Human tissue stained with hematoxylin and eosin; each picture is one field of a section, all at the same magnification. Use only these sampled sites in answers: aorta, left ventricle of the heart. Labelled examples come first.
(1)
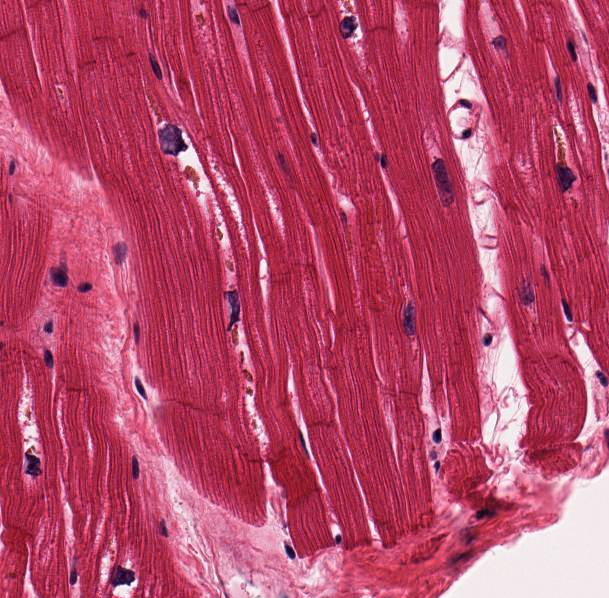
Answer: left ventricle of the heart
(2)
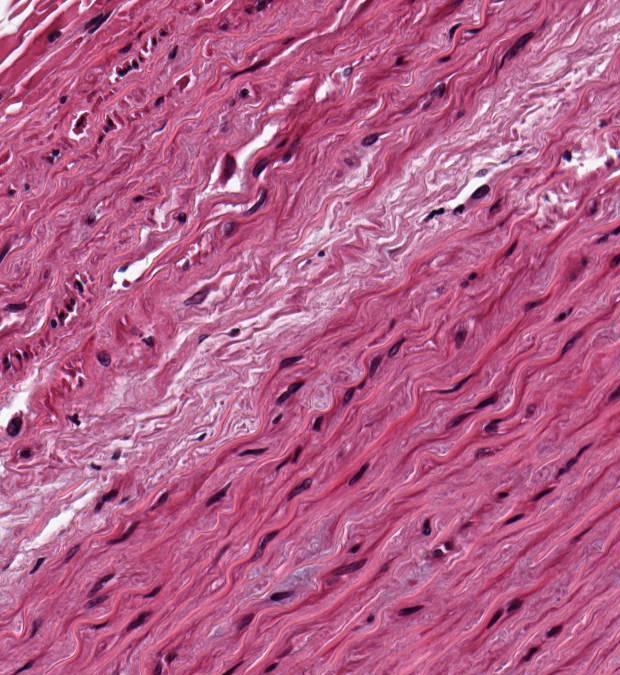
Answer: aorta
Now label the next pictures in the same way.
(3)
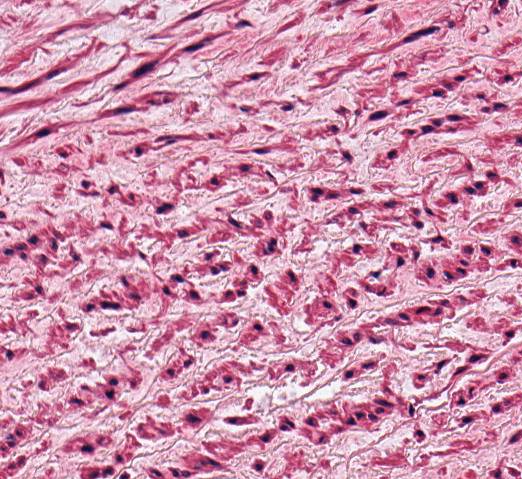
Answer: aorta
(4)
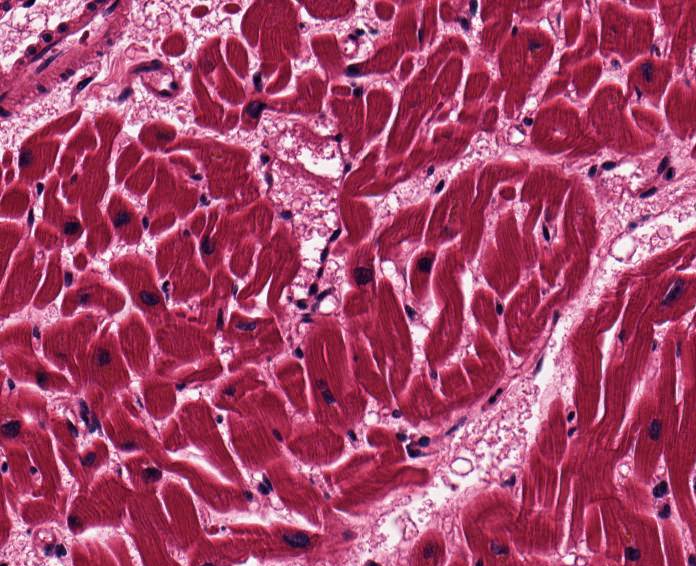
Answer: left ventricle of the heart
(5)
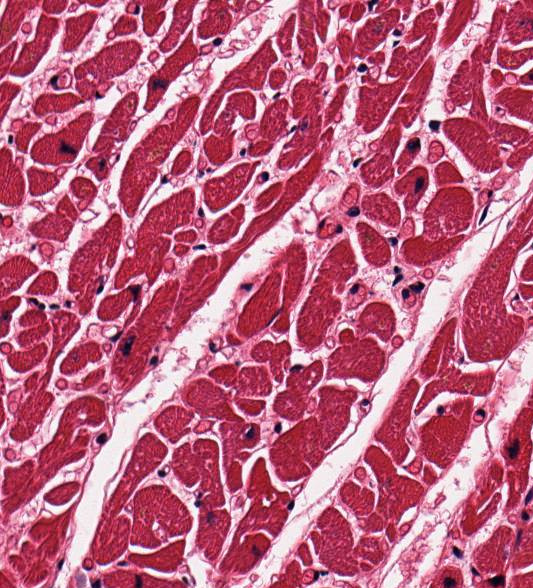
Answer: left ventricle of the heart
